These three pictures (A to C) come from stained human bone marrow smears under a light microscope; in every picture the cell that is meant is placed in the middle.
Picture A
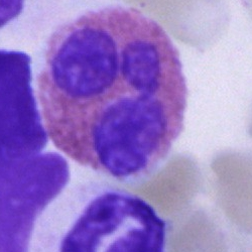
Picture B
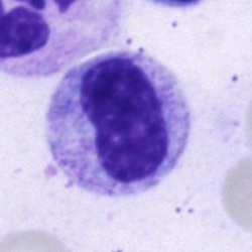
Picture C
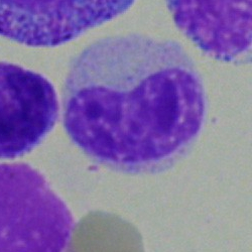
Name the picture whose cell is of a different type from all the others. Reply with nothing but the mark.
A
